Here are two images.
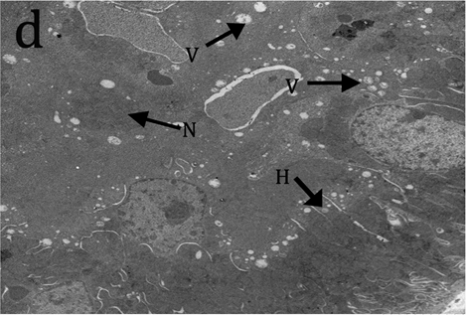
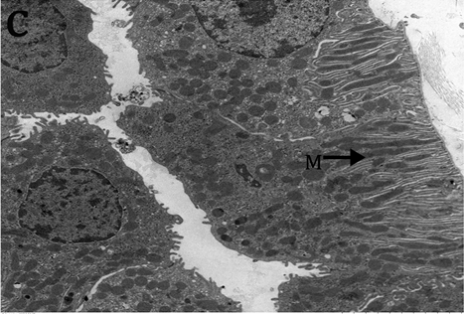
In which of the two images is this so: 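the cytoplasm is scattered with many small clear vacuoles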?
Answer: the first image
